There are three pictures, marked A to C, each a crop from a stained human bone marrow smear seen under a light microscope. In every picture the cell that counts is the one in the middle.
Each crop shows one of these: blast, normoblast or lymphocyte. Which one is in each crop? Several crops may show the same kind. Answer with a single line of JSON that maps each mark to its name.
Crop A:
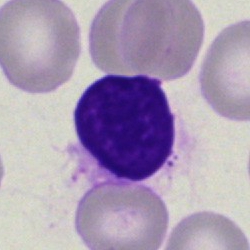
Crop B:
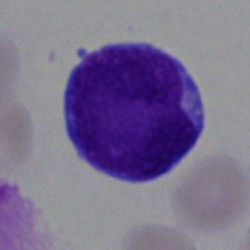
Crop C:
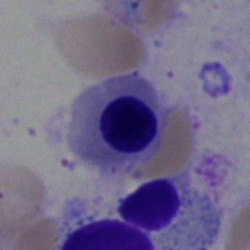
{"A": "lymphocyte", "B": "blast", "C": "normoblast"}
